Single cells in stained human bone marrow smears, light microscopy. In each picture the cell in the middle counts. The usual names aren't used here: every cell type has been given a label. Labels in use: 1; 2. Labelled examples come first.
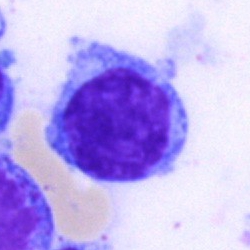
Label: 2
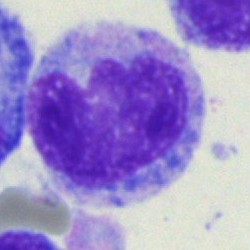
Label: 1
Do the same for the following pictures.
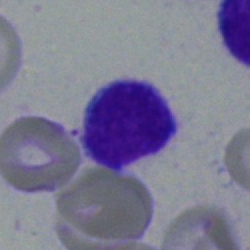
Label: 2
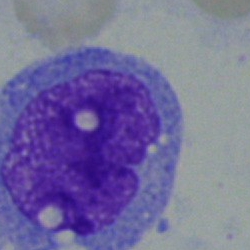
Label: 1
